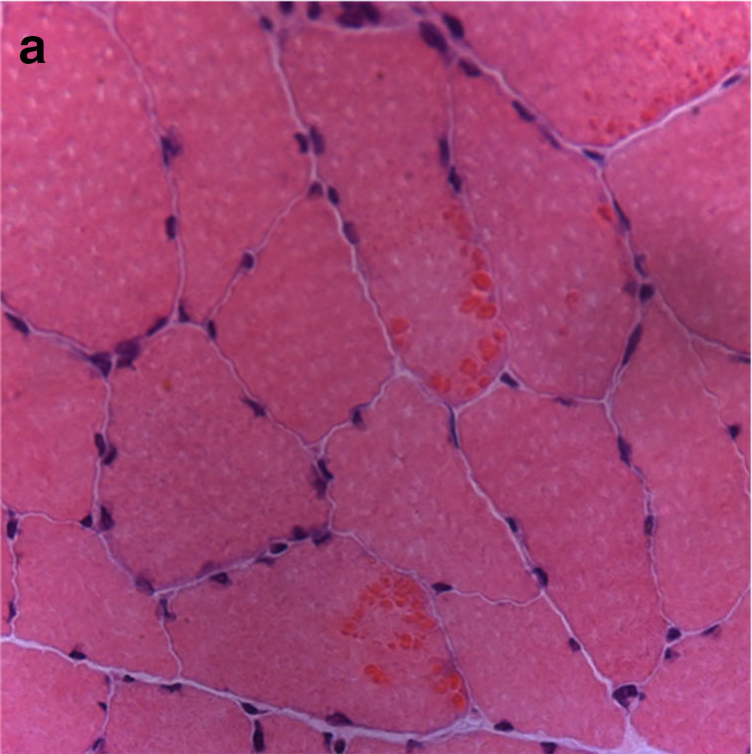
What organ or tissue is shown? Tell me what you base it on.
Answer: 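Large polygonal fiber profiles in cross-section packed side by side. Small dark nuclei sit at the periphery of the fibers. That points to this answer: Muscle fibers.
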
